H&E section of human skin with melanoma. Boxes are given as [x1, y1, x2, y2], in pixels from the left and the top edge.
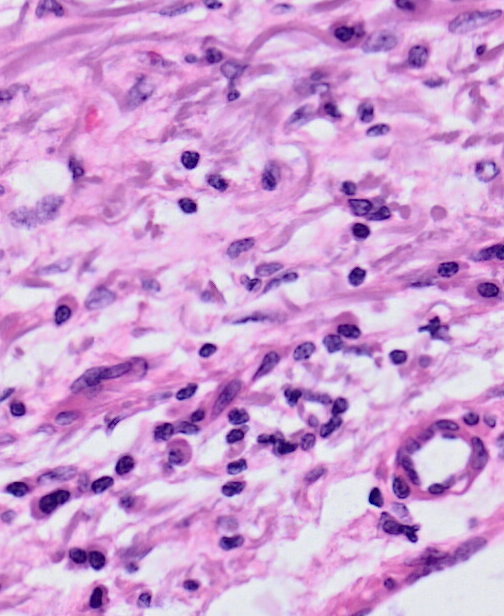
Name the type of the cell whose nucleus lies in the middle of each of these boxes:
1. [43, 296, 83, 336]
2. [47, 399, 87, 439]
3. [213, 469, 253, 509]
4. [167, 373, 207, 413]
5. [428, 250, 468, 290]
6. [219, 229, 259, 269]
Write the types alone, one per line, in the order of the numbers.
plasma cell
endothelial cell
lymphocyte
lymphocyte
plasma cell
macrophage or monocyte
